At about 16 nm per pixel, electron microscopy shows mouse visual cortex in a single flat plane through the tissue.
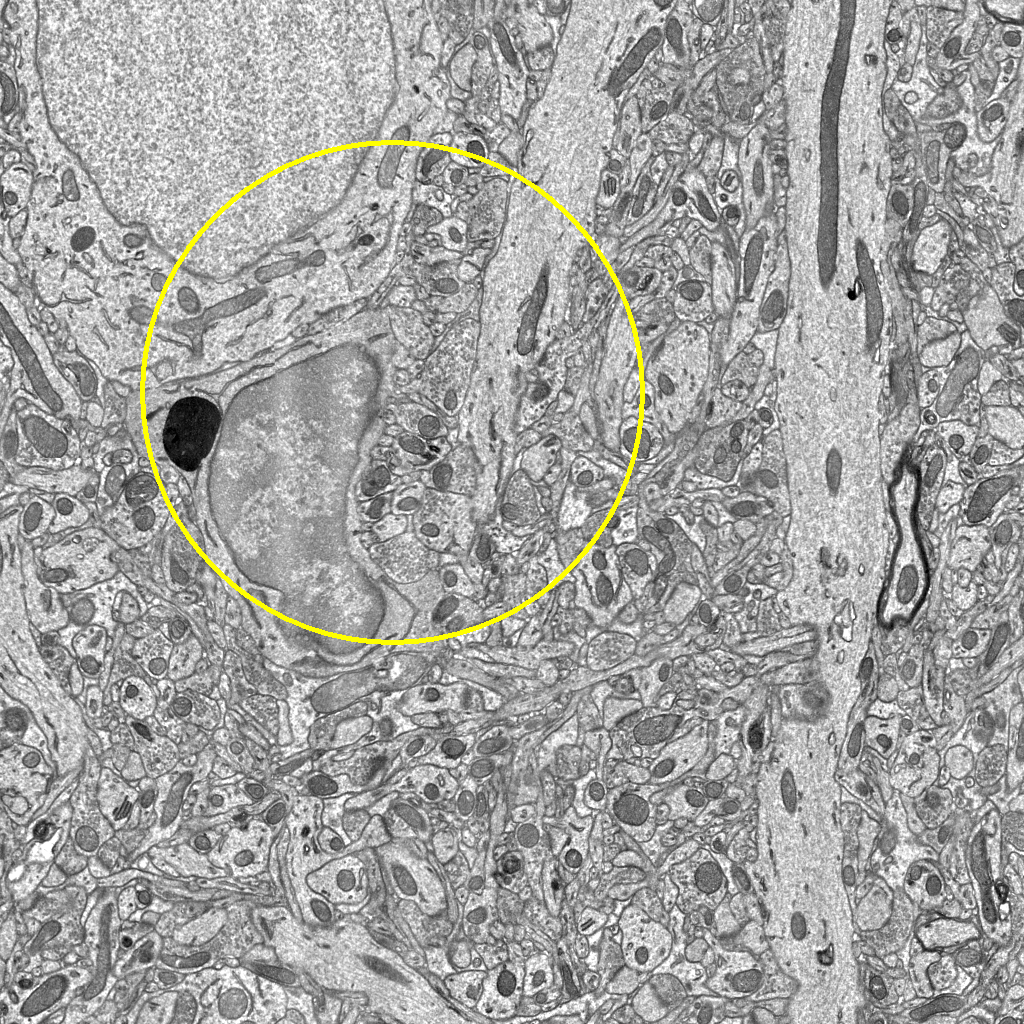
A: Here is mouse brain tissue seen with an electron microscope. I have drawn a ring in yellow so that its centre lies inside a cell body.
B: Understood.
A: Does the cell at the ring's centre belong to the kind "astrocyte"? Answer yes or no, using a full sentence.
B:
No, the cell at the centre of your yellow ring belongs to another kind.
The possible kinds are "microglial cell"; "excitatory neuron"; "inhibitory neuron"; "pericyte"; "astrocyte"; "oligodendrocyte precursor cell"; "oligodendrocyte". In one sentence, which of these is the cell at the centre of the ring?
The correct answer is that the cell is a microglial cell.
